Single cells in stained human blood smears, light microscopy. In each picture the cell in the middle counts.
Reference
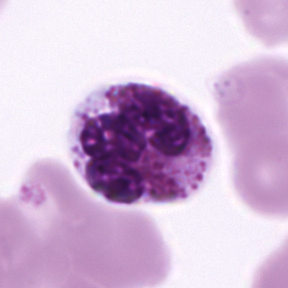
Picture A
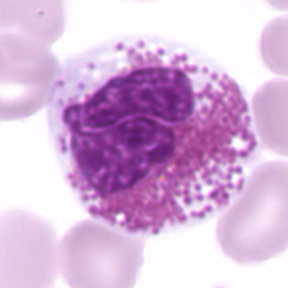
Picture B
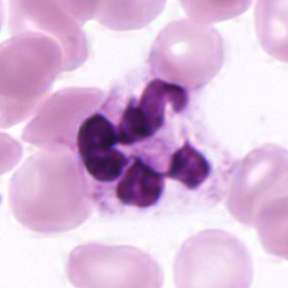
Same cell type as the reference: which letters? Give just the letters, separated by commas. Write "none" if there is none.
A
